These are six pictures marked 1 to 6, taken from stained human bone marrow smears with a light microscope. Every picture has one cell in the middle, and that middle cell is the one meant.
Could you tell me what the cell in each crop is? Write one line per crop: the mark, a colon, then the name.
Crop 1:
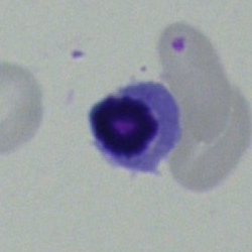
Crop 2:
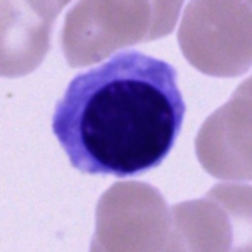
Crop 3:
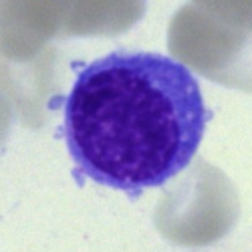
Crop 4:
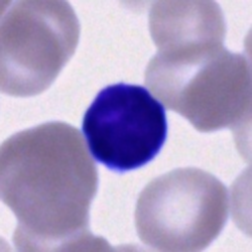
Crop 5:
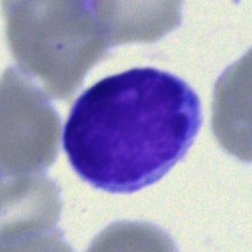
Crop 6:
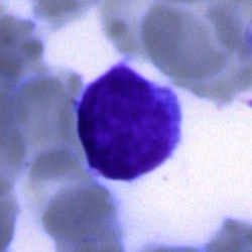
1: erythroblast
2: erythroblast
3: blast
4: lymphocyte
5: lymphocyte
6: lymphocyte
